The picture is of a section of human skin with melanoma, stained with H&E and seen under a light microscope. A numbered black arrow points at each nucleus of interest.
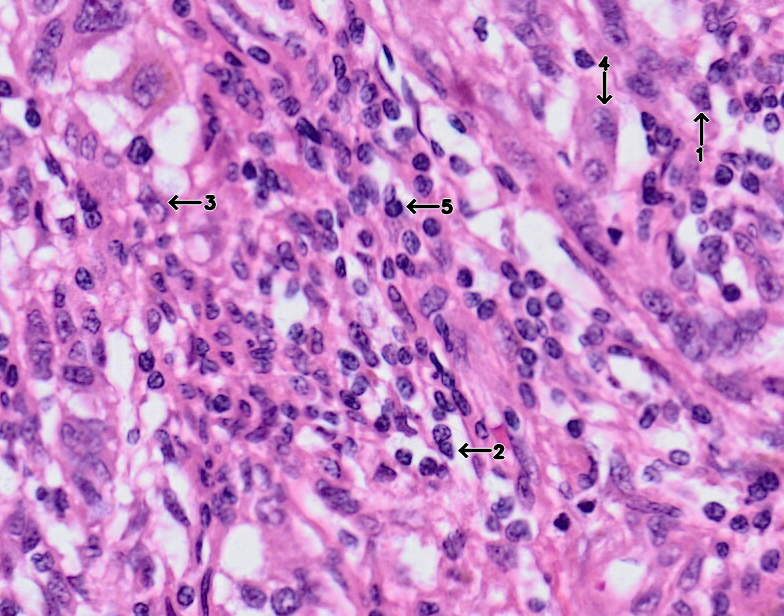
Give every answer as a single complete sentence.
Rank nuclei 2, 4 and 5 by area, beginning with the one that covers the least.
Smallest first, the nuclei run 2, 5, 4.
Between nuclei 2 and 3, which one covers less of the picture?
Number 2 is smaller, since number 3 takes up about 2.5 times as much area.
